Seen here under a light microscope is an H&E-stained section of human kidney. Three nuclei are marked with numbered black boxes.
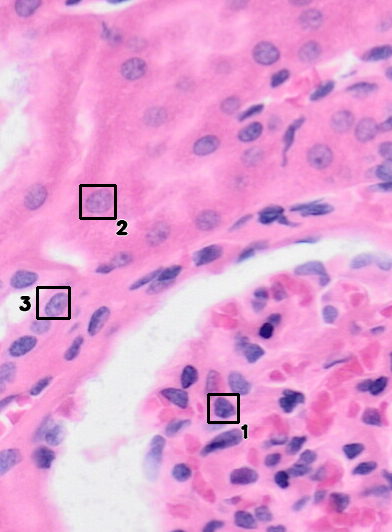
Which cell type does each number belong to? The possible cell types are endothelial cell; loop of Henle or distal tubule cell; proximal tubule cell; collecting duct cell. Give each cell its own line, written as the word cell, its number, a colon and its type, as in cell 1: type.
cell 1: endothelial cell
cell 2: proximal tubule cell
cell 3: collecting duct cell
